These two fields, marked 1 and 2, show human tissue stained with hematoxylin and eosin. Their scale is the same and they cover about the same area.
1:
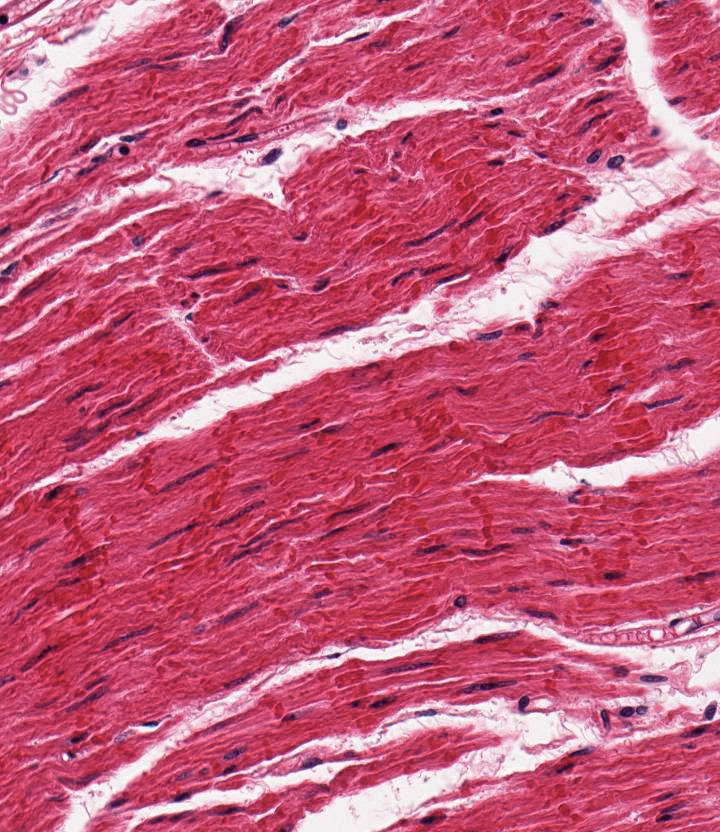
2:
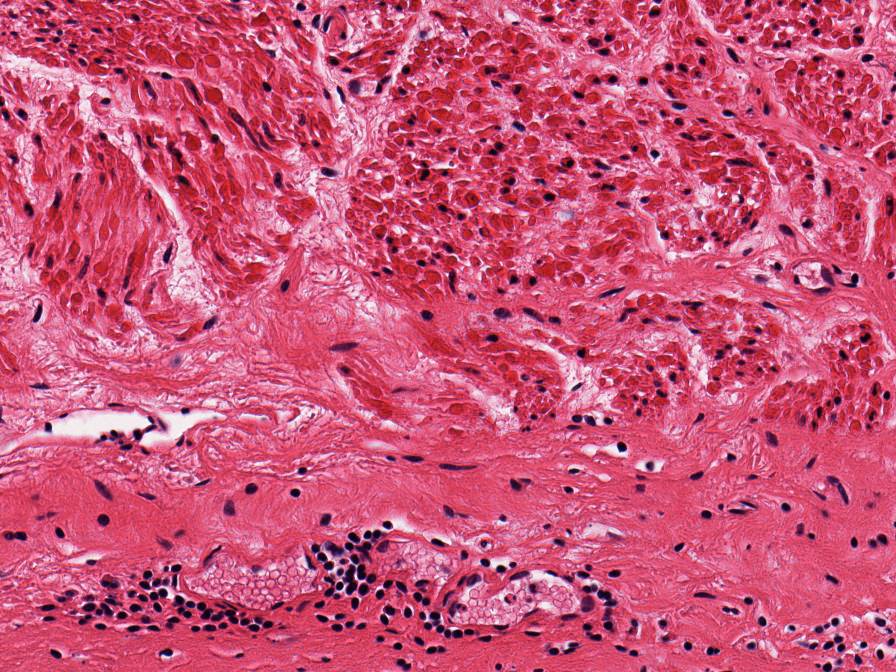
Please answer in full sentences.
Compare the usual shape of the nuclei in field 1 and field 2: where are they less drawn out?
Rounder nuclei lie in field 2.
